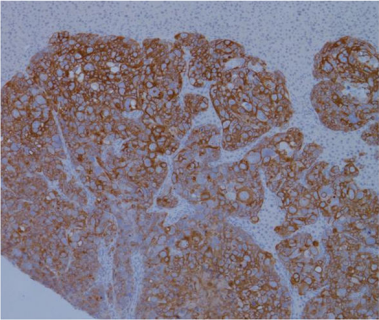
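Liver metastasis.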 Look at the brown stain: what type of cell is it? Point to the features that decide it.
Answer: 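Tumor cells. Brown stain fills the cells of large cohesive nests. The bordering tissue at the top and right and the strands between the nests are pale blue and unstained.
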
